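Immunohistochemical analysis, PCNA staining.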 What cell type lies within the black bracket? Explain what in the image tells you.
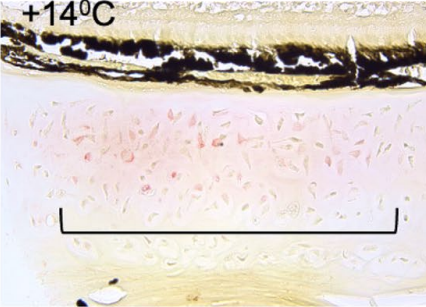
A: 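The bracket spans a zone of many small cells set in a pale, glassy matrix. The cells in this zone are more crowded and tinted pink-red. The matrix between the cells is uniform and without fibres. That points to this answer: chondrocytes.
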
